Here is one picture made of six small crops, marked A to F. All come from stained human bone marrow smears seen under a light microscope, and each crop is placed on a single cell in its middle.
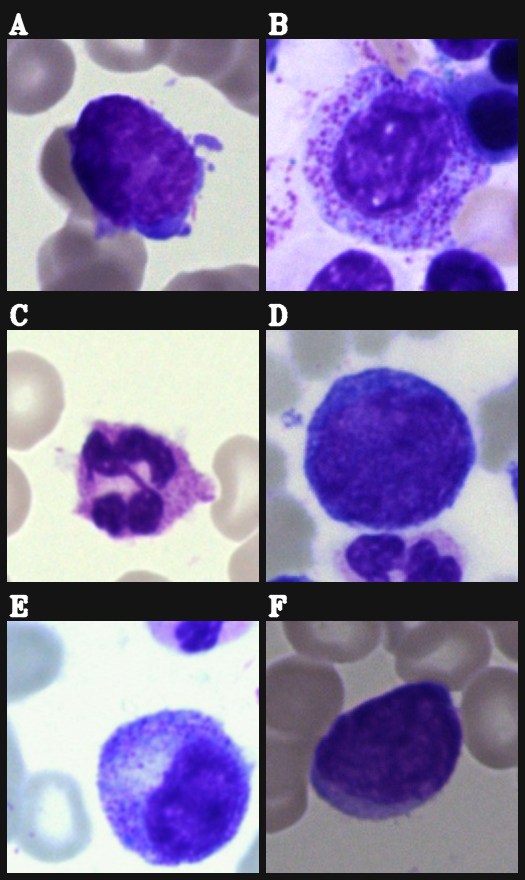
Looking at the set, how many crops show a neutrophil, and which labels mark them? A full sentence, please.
Just a single crop contains a neutrophil: it is crop C.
